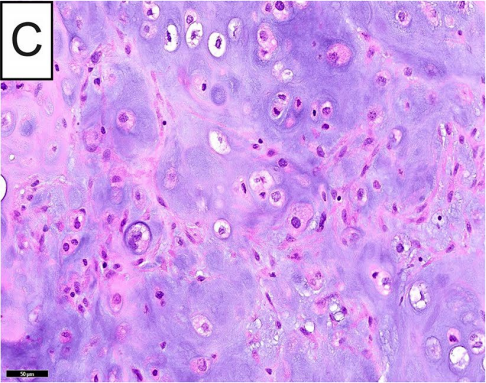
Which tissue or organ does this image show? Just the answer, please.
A: Cartilaginous neoplasm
